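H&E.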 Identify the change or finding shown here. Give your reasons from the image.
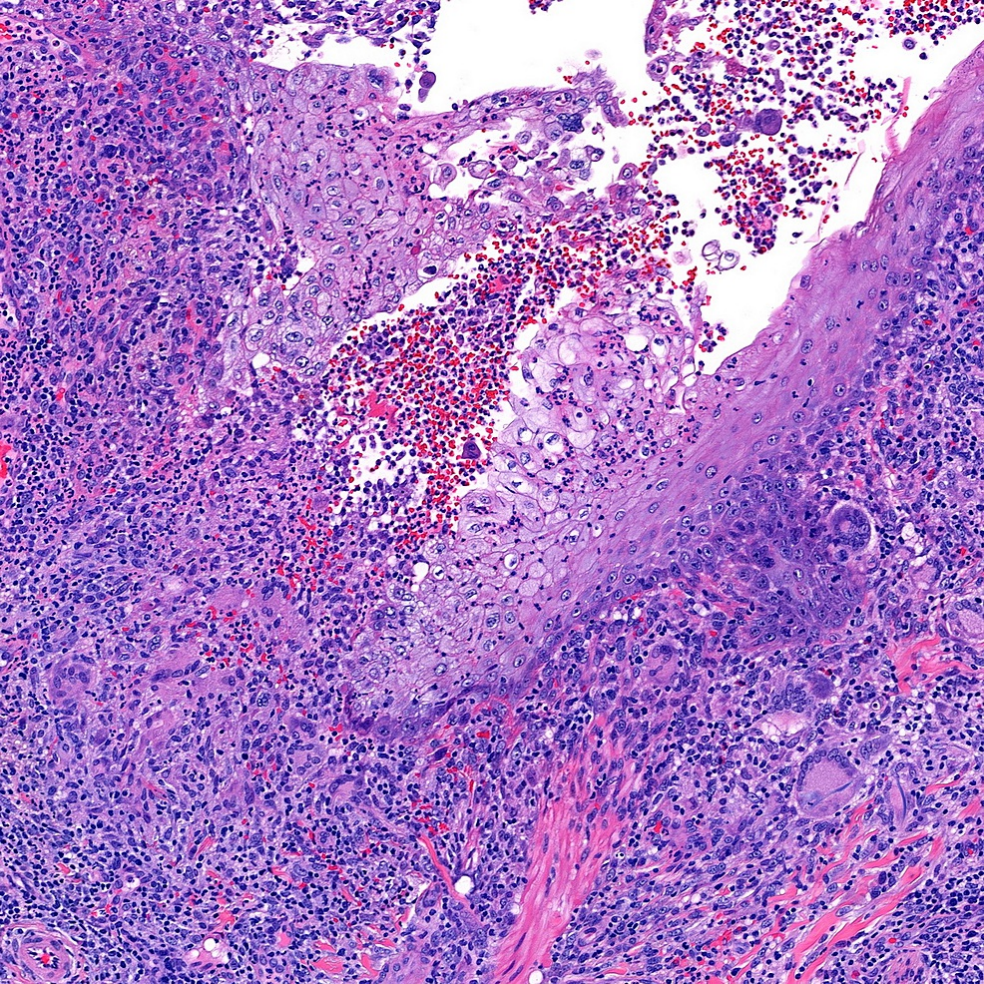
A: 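Dense sheets of small dark inflammatory cells fill the tissue below the epithelium. Large multinucleated cells lie within the infiltrate on the right. Clusters of neutrophils mixed with red blood cells collect in a cleft at the top.
Hence: Suppurative granulomatous inflammatory infiltrate.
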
